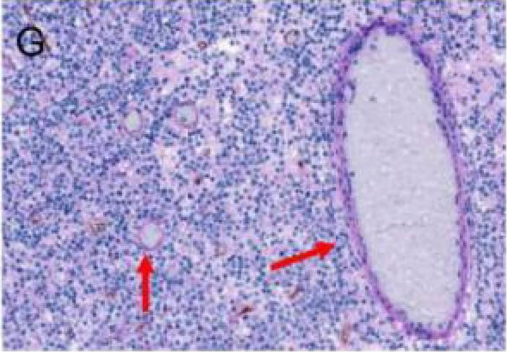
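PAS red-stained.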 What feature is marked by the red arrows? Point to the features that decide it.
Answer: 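The right red arrow points to a large oval channel lined by a magenta rim and filled with pale material. The left red arrow points to a small round magenta-rimmed space among dense cells. On this evidence: tubular structures.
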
